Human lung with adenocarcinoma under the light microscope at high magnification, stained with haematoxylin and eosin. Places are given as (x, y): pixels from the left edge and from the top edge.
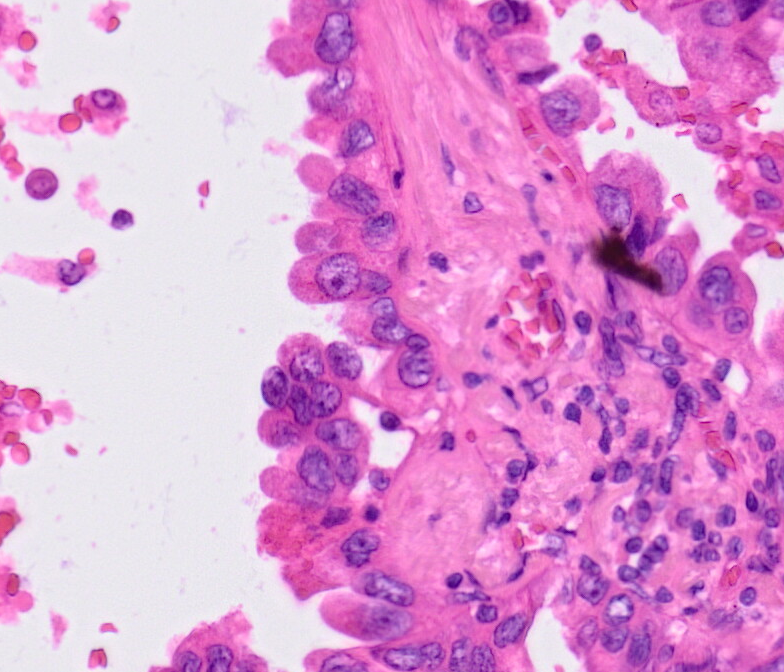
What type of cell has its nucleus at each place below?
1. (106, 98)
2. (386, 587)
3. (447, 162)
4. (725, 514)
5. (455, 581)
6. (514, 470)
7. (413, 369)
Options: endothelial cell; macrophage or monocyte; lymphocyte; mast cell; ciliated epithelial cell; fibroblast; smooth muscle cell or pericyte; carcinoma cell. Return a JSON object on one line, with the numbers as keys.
{"1": "macrophage or monocyte", "2": "carcinoma cell", "3": "fibroblast", "4": "lymphocyte", "5": "lymphocyte", "6": "lymphocyte", "7": "carcinoma cell"}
